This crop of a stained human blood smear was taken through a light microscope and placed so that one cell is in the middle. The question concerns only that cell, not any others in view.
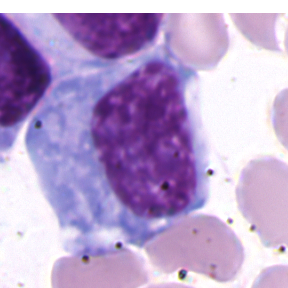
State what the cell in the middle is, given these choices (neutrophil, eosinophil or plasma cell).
plasma cell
